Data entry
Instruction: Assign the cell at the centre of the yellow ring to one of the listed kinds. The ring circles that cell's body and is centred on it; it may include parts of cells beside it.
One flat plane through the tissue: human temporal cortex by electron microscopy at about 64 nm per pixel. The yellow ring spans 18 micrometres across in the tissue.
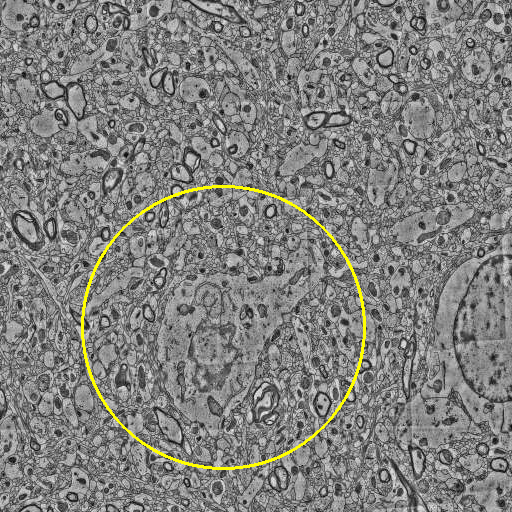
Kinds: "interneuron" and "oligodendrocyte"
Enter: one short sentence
The centre of the ring falls on an interneuron.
